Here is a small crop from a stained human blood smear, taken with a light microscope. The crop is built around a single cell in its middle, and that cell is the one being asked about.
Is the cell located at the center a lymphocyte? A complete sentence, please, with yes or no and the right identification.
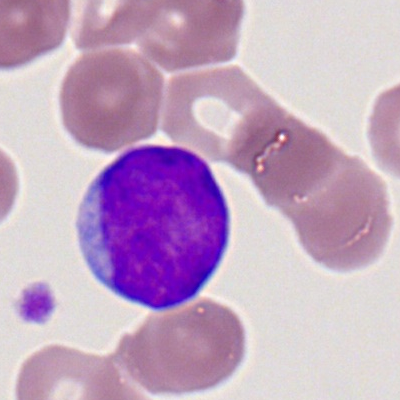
No, in this crop the middle cell is a blast, not a lymphocyte.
